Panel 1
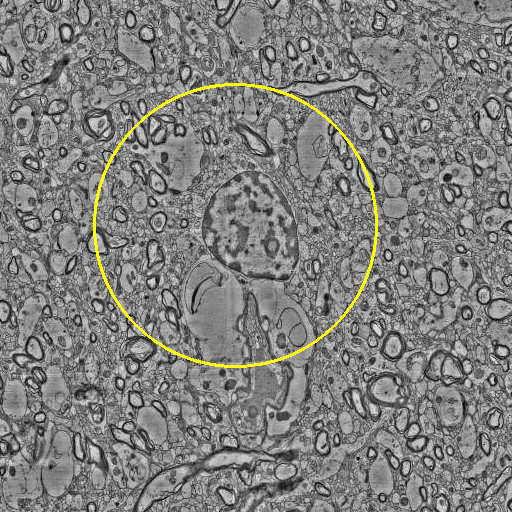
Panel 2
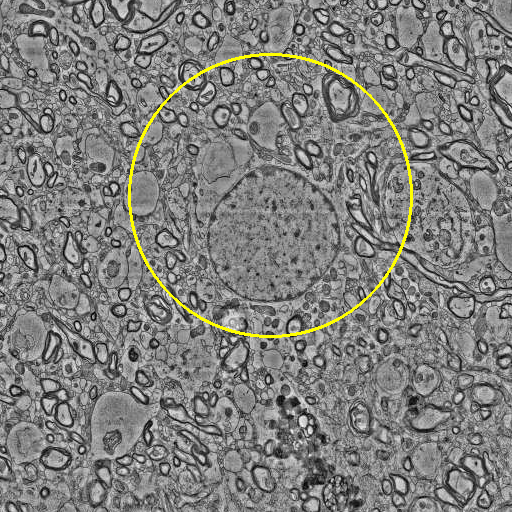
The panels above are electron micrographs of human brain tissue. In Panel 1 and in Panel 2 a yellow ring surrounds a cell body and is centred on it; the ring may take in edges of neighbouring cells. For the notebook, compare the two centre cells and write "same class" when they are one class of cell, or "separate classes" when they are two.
separate classes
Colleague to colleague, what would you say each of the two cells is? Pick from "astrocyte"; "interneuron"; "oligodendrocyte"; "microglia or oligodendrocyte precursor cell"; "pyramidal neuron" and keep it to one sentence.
The cell in the first picture is a microglial cell or oligodendrocyte precursor cell; the second picture's cell is an astrocyte.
